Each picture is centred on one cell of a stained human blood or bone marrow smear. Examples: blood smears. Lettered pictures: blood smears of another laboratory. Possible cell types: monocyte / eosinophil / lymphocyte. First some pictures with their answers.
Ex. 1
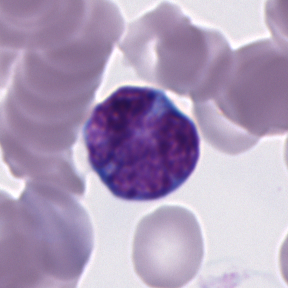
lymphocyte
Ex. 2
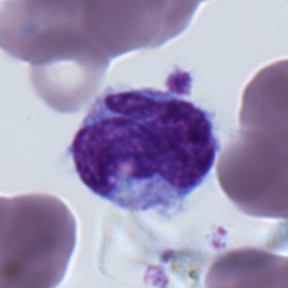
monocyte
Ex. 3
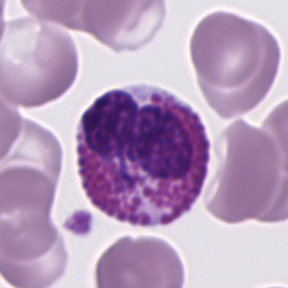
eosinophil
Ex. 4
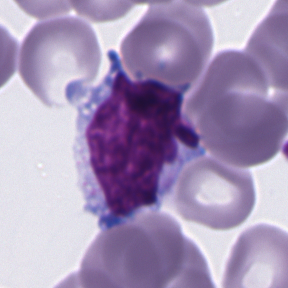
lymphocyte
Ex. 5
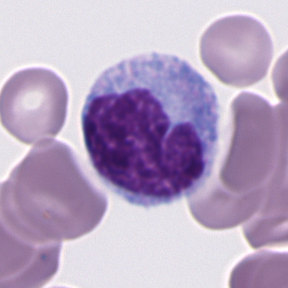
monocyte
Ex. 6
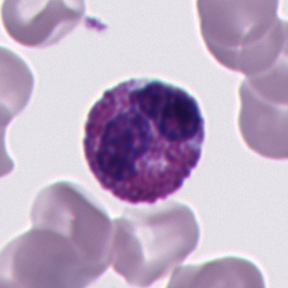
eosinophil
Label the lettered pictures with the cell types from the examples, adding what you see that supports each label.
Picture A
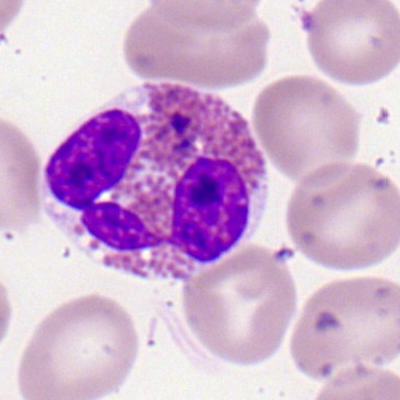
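eosinophil: The cytoplasm is packed with pinkish-red granules.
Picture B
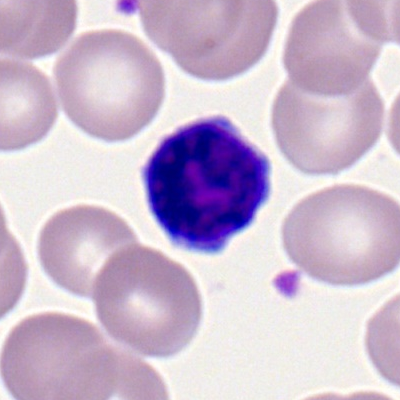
lymphocyte: Only a very thin rim of cytoplasm shows, mainly at the upper and lower edges.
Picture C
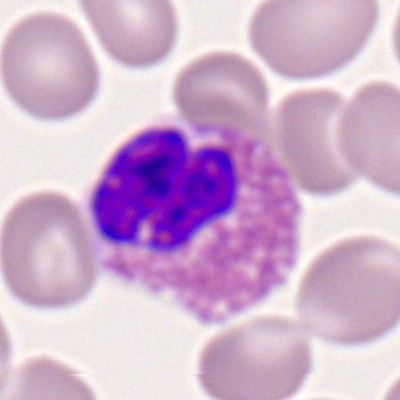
eosinophil: The cytoplasm is packed with coarse granules.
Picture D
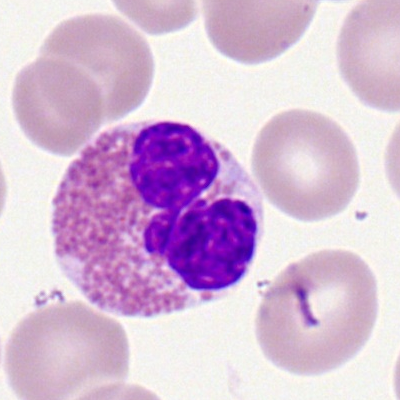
eosinophil: The cytoplasm is packed with orange-pink granules.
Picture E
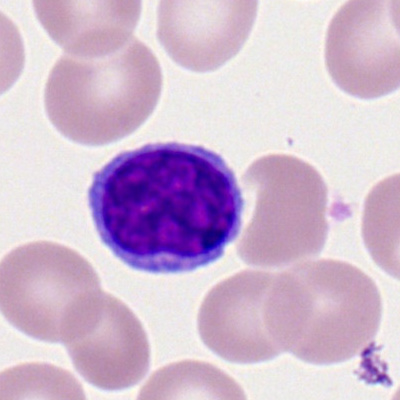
lymphocyte: The cytoplasm forms only a thin rim around the nucleus.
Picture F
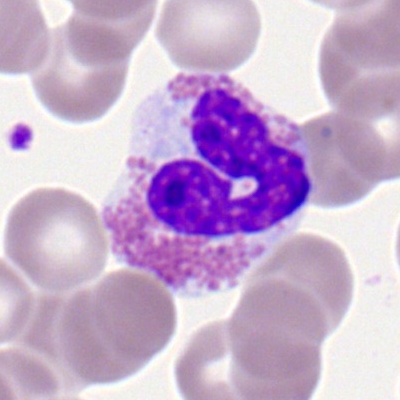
eosinophil: The granules are packed most densely in the lower left part of the cell.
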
